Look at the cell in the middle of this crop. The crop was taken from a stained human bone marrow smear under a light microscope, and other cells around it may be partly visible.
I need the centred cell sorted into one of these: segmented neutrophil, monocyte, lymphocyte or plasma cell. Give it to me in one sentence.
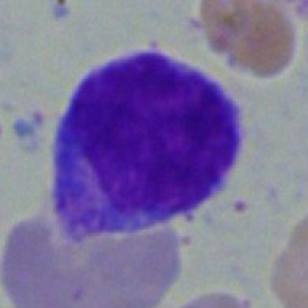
Framed in the middle of the crop is a lymphocyte.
